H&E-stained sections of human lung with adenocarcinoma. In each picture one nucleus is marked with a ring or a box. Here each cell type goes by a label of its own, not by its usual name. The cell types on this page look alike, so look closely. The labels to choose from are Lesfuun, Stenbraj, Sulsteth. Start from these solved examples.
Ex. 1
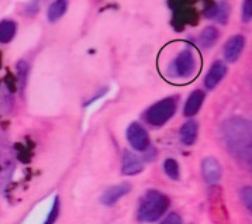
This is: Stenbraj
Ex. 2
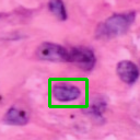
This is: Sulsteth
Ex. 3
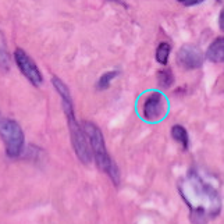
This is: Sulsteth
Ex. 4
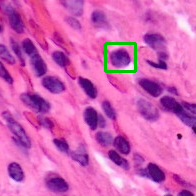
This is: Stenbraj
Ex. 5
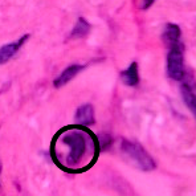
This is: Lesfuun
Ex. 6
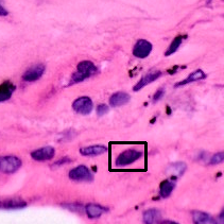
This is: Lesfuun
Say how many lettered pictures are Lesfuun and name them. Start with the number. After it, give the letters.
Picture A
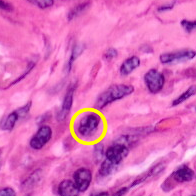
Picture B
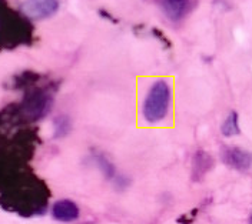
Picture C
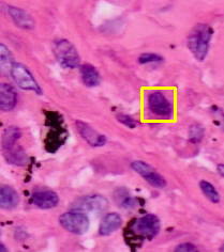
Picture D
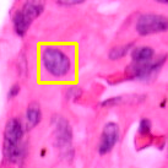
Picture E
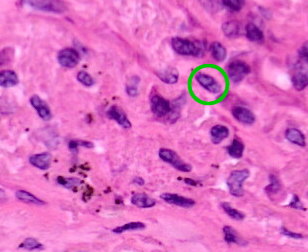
2, namely A, C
